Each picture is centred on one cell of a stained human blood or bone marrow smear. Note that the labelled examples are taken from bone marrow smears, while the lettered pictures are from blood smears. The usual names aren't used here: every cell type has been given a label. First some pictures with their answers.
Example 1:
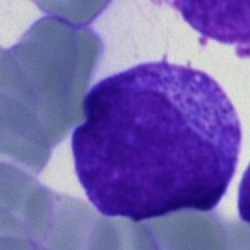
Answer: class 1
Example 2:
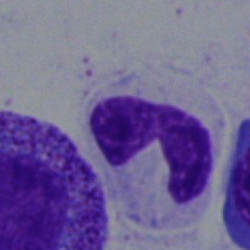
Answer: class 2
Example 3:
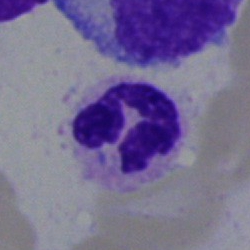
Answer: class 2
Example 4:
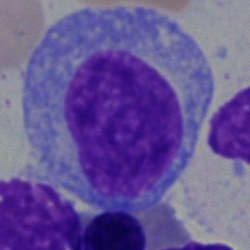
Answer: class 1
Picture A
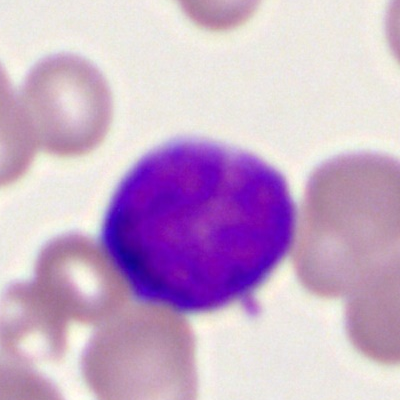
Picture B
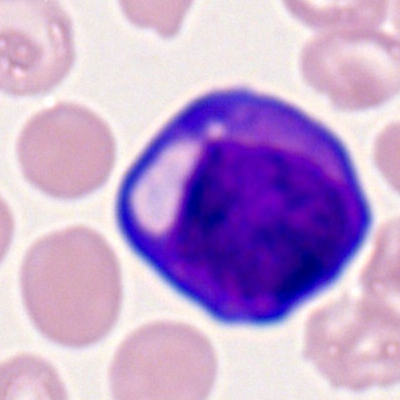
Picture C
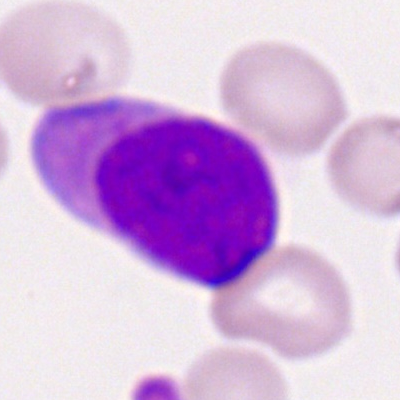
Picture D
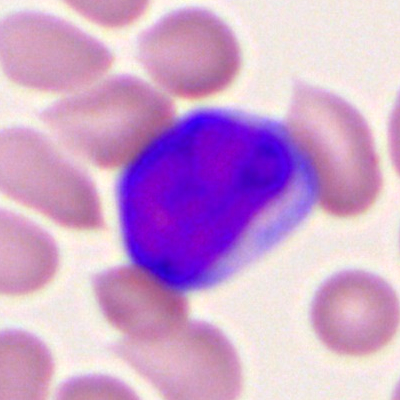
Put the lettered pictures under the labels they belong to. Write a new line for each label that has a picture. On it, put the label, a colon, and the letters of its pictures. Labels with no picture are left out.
class 1: A, B, C, D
